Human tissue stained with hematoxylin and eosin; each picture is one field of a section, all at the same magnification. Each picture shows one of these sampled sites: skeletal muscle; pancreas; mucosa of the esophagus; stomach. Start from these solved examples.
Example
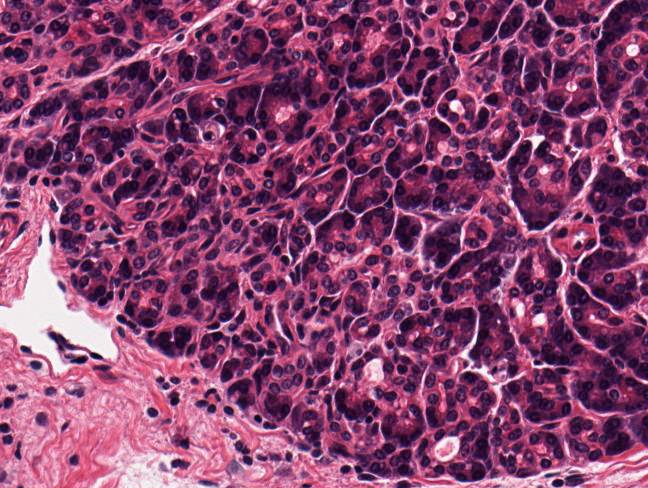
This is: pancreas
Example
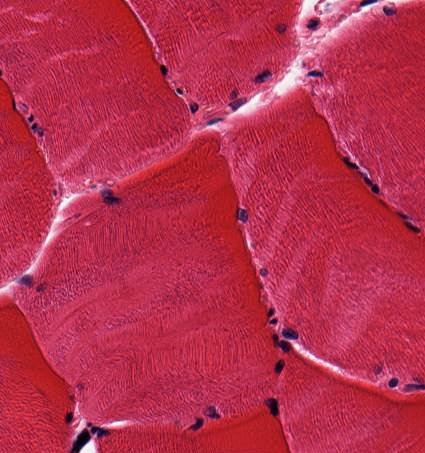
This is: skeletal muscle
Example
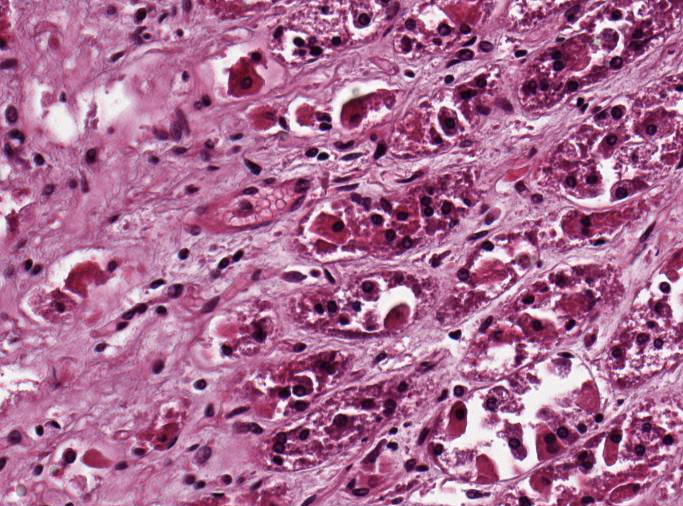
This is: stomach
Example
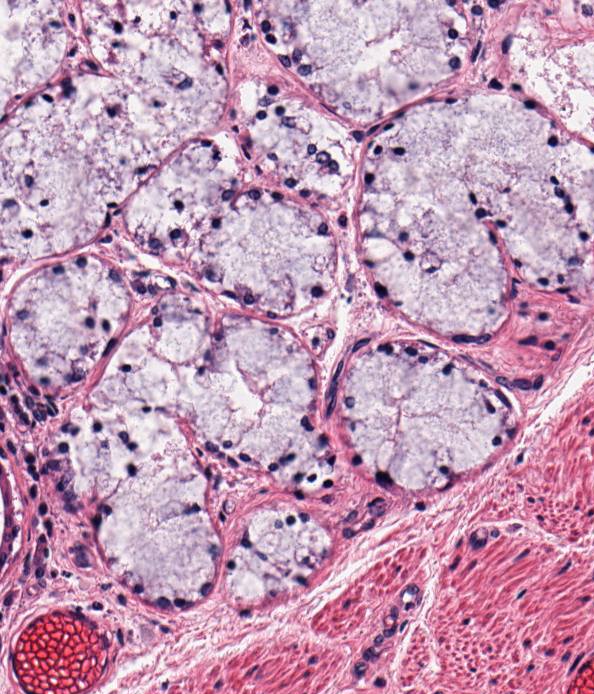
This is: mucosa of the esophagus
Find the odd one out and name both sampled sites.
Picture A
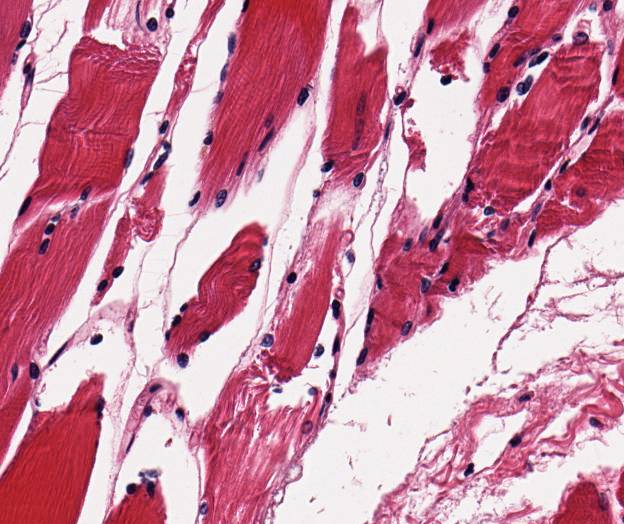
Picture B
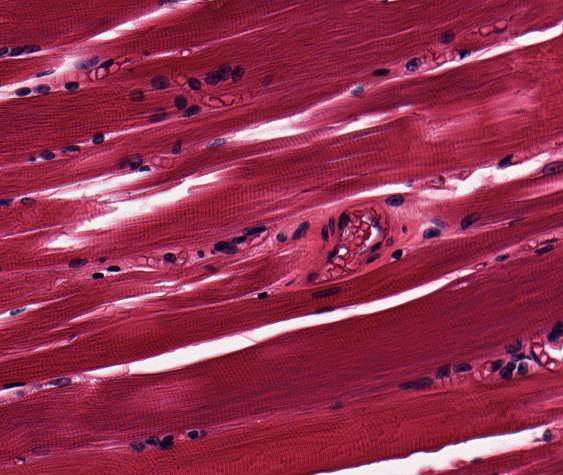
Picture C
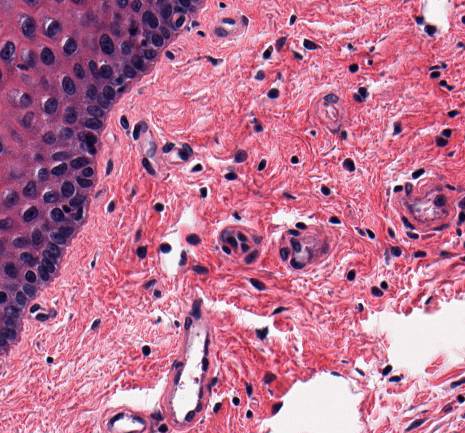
Exception: C, showing mucosa of the esophagus. Remaining pictures: skeletal muscle.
